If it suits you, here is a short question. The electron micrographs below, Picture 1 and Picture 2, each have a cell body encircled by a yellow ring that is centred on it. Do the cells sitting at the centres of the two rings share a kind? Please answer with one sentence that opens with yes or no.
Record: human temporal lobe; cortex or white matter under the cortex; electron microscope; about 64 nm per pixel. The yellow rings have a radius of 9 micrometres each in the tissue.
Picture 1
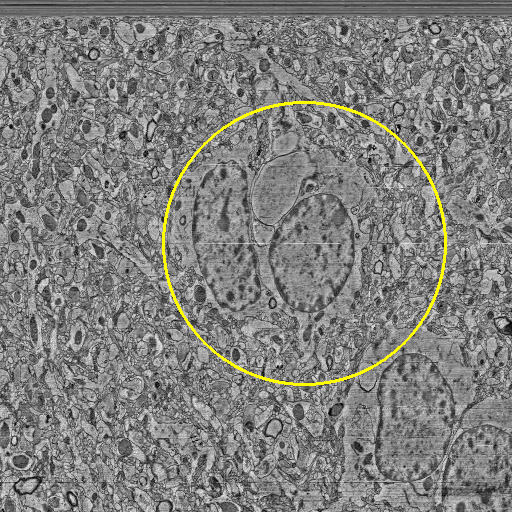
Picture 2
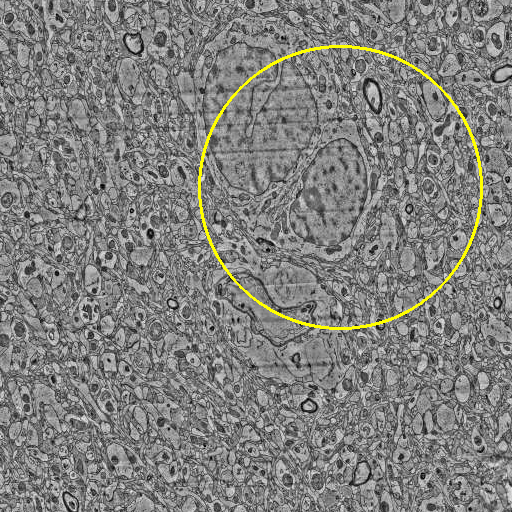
No, the two cells sitting at the ring centres fall into two kinds.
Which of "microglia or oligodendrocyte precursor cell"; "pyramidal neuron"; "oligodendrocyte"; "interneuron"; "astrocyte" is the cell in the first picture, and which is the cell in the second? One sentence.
The two differ: the first cell is an astrocyte and the second is a microglial cell or oligodendrocyte precursor cell.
